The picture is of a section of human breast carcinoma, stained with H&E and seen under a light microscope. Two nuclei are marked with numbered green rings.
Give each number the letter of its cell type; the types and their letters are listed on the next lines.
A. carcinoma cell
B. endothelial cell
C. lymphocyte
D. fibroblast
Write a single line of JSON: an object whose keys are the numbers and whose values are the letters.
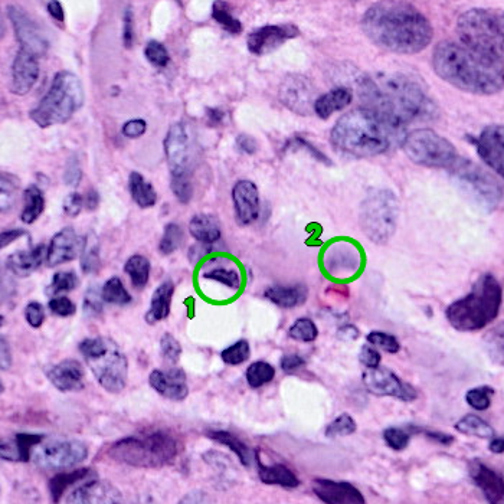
{"1": "C", "2": "B"}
